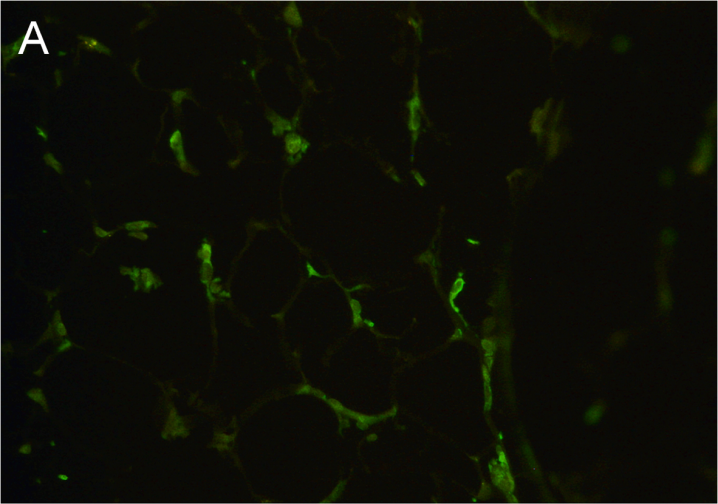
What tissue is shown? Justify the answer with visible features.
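Large round to polygonal empty spaces are outlined by thin green rims. Small brighter green cells sit in the angles between the empty spaces. The answer: fat tissue.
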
